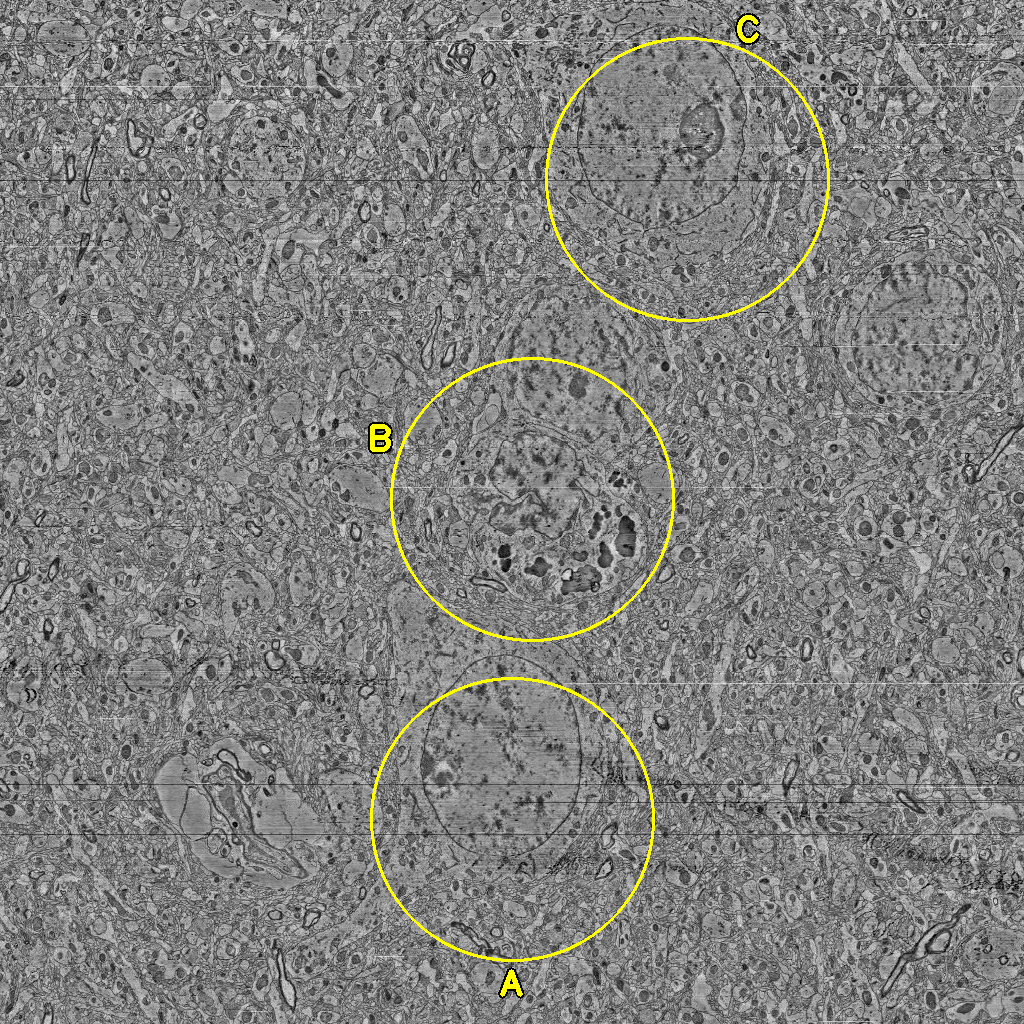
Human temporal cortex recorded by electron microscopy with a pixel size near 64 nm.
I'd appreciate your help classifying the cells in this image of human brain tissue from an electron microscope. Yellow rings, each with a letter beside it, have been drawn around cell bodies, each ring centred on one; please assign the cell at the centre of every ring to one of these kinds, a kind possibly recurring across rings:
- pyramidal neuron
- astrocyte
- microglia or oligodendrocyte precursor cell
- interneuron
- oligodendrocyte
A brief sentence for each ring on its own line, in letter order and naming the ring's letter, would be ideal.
In ring A, the central cell is a pyramidal neuron.
In ring B, the central cell is an interneuron.
In ring C, the central cell is a pyramidal neuron.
